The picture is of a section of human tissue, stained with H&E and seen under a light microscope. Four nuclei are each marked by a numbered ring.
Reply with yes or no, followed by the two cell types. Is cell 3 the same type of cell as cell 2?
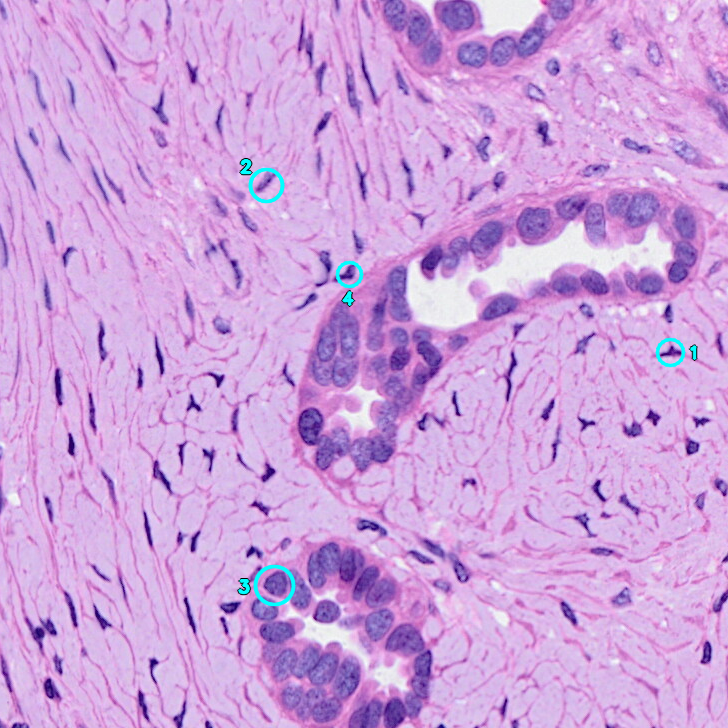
No, cell 3 is a carcinoma cell, and cell 2, for its part, is a fibroblast.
